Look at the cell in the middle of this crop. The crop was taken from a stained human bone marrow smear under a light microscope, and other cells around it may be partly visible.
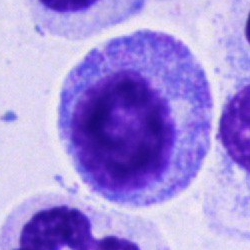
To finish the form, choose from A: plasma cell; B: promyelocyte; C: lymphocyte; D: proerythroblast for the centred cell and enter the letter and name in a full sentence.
As the central cell is a promyelocyte, option B is correct.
